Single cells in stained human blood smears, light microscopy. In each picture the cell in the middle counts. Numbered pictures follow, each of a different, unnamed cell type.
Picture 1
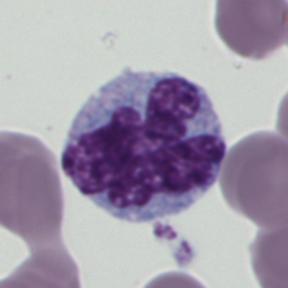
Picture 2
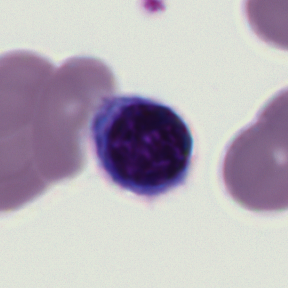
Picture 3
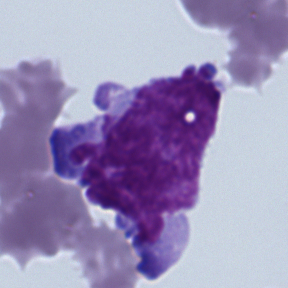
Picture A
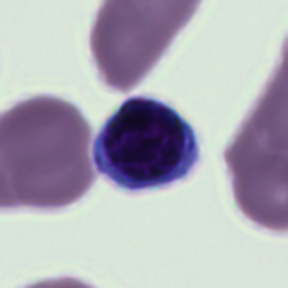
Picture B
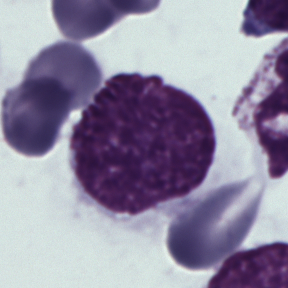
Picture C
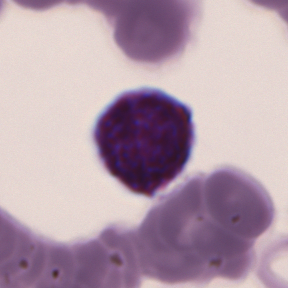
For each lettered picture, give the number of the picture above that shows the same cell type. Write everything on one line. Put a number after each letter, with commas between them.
A 2, B 3, C 3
